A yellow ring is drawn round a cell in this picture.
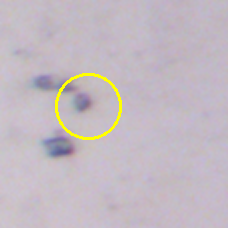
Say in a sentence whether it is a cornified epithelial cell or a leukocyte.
The cell in the ring is a leukocyte.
